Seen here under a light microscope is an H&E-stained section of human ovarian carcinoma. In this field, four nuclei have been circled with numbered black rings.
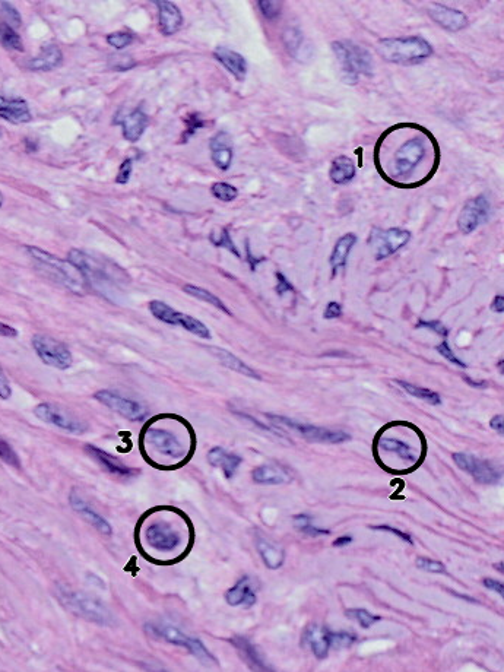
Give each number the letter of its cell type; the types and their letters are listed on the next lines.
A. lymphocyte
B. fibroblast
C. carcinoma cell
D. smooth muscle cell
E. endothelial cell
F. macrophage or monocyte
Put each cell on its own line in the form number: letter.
1: B
2: B
3: B
4: A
